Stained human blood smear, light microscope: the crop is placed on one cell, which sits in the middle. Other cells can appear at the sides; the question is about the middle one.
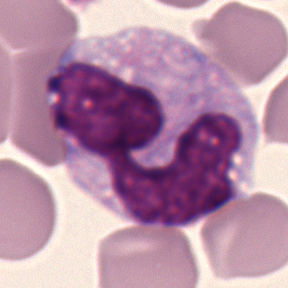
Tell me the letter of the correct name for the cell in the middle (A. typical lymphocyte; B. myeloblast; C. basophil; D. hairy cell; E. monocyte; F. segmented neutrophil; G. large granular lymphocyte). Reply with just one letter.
E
